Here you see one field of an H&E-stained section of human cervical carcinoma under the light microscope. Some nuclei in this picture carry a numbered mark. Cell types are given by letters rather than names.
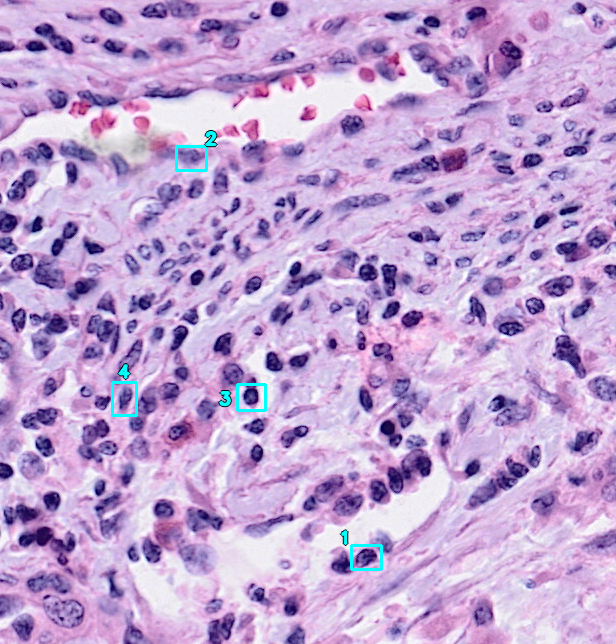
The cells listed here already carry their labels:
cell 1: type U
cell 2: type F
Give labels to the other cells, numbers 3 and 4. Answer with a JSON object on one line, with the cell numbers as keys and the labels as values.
{"3": "type U", "4": "type U"}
